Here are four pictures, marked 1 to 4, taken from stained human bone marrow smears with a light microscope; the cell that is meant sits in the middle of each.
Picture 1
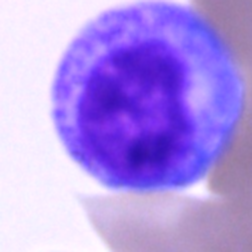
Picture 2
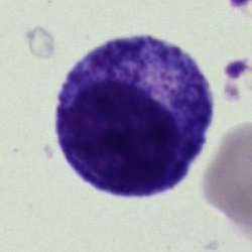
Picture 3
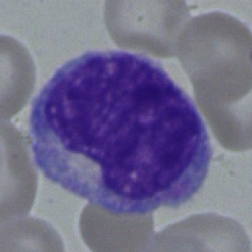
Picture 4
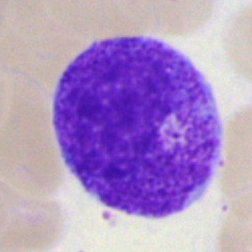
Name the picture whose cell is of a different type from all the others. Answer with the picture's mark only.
3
